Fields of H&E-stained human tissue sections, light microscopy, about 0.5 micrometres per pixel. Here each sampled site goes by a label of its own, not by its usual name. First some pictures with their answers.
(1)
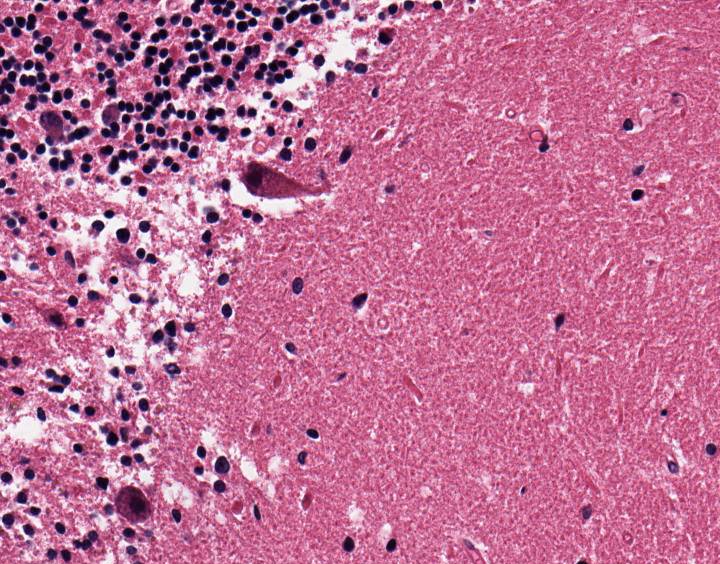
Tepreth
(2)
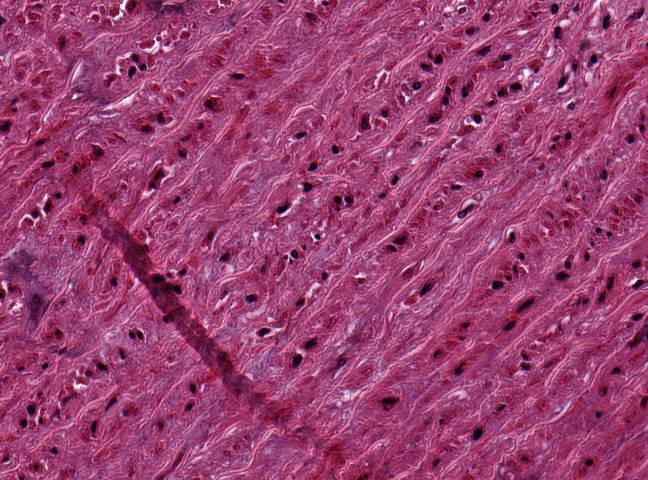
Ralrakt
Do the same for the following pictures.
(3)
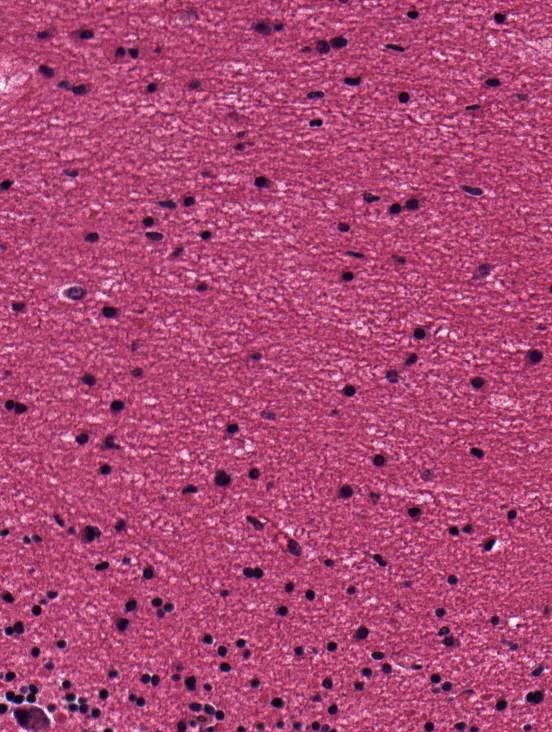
Tepreth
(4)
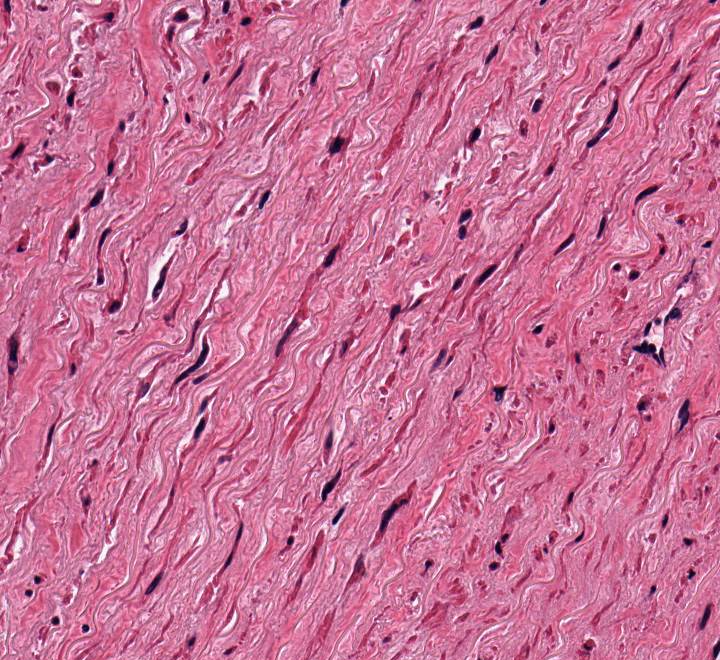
Ralrakt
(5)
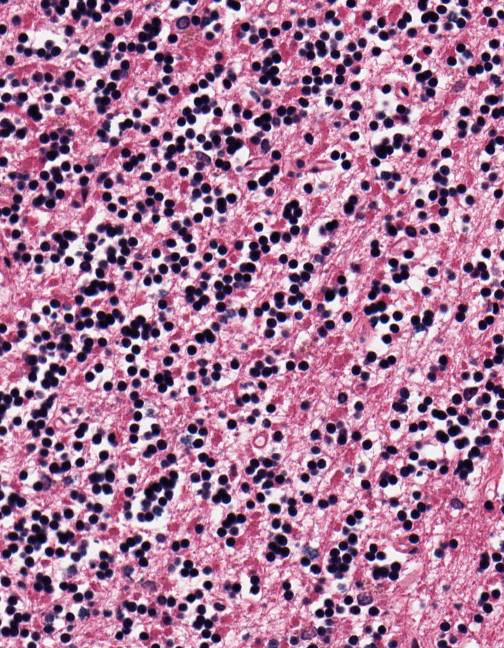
Tepreth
